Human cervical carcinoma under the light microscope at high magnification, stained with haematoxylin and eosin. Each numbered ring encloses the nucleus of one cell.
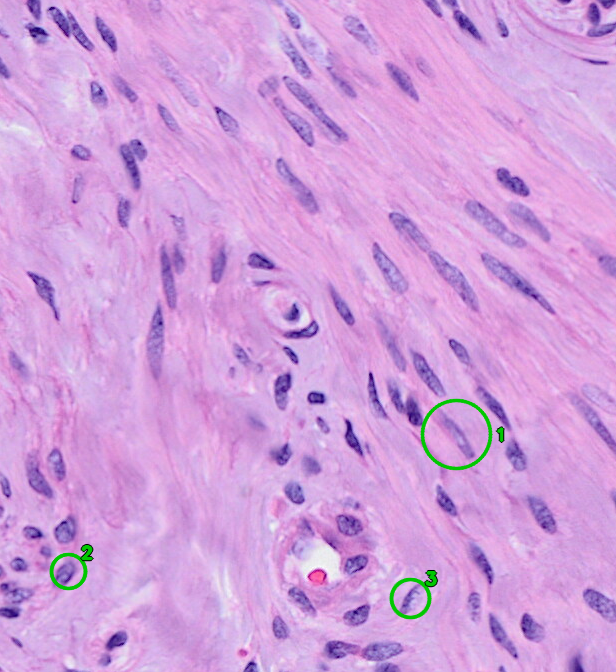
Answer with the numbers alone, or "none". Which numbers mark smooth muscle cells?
2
